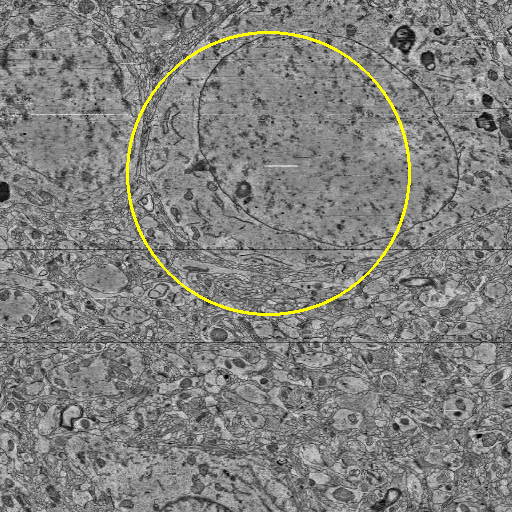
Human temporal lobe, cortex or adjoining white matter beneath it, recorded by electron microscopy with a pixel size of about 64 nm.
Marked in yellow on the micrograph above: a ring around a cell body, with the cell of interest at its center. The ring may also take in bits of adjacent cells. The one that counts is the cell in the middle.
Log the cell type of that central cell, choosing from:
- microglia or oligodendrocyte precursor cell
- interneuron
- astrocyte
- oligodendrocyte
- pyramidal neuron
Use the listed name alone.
pyramidal neuron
